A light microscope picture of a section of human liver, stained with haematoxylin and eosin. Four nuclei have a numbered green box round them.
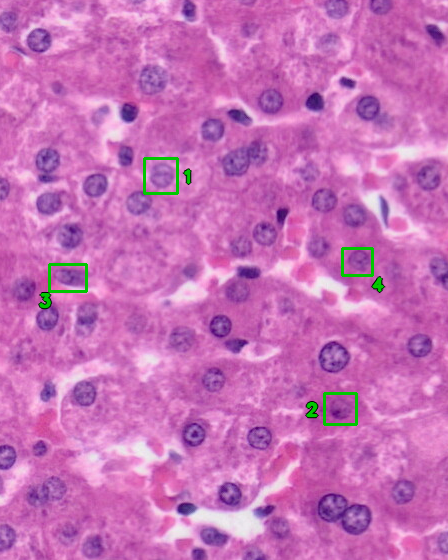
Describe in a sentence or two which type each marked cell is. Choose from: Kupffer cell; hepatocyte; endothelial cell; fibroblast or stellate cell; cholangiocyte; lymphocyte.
Cells 1, 2 and 4 are hepatocytes. Cell 3 is a Kupffer cell.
